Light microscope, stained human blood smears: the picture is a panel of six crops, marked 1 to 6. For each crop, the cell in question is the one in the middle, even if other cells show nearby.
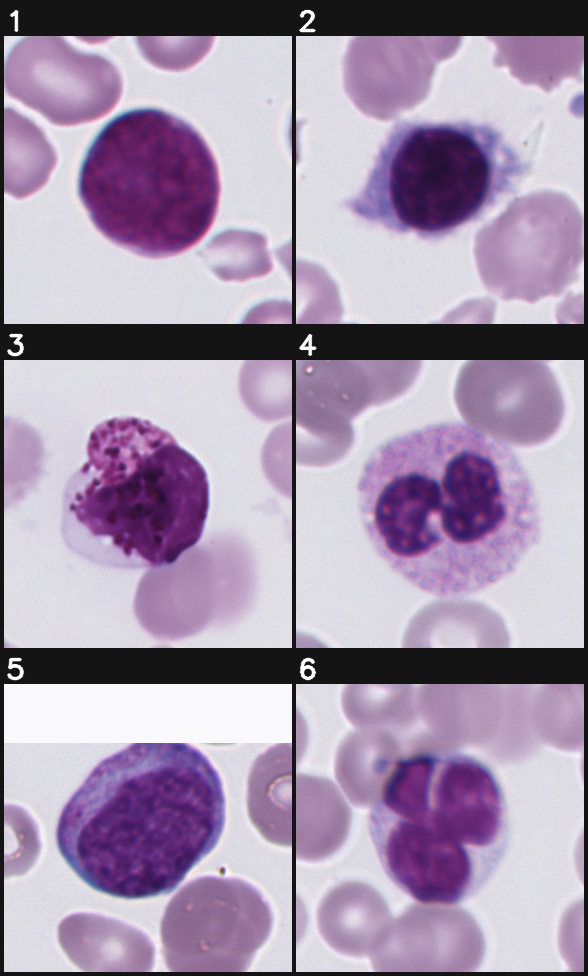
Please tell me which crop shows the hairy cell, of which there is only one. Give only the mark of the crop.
2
